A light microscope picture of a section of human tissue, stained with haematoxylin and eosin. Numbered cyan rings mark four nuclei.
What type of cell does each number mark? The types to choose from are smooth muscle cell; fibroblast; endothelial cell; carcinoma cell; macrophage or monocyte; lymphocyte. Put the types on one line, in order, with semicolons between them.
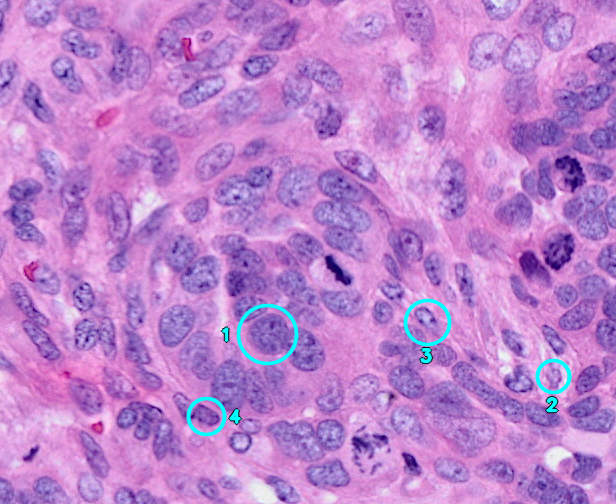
carcinoma cell; fibroblast; fibroblast; macrophage or monocyte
